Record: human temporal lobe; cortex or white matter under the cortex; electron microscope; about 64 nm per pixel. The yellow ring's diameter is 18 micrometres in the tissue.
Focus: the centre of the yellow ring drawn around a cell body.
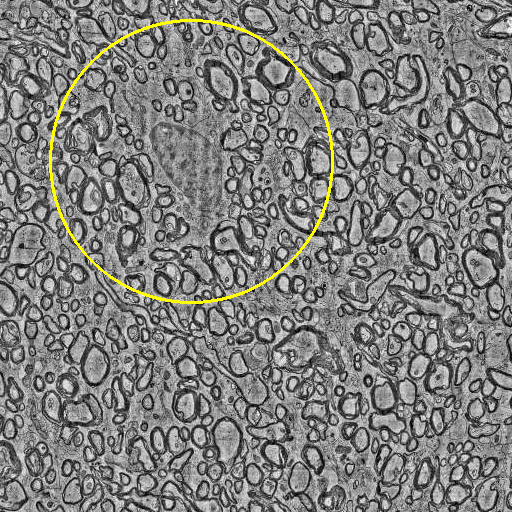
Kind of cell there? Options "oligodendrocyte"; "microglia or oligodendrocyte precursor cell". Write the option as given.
microglia or oligodendrocyte precursor cell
